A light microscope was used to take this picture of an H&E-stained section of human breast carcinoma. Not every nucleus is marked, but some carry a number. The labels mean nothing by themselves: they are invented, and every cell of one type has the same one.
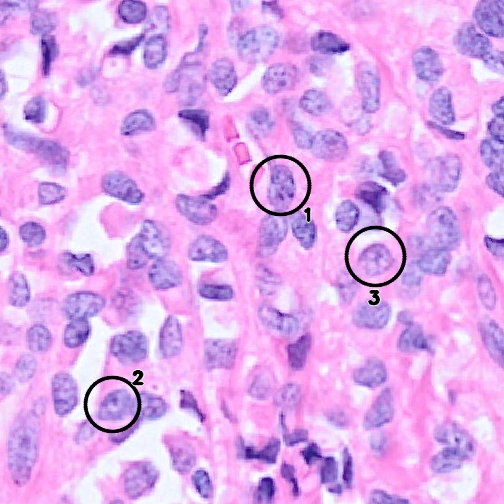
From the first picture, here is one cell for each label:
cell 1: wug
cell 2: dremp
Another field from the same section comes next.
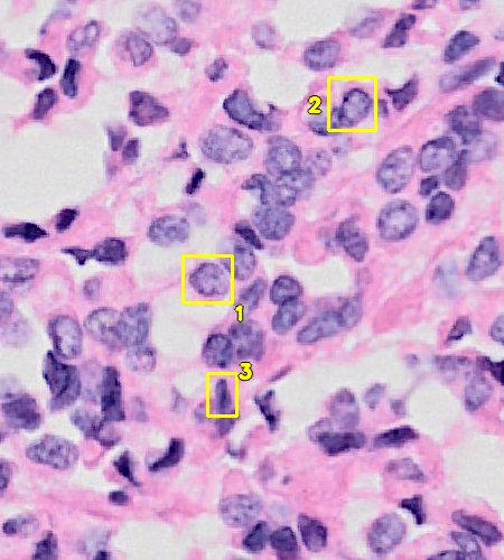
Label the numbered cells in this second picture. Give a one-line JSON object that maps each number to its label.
{"1": "dremp", "2": "dremp", "3": "wug"}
